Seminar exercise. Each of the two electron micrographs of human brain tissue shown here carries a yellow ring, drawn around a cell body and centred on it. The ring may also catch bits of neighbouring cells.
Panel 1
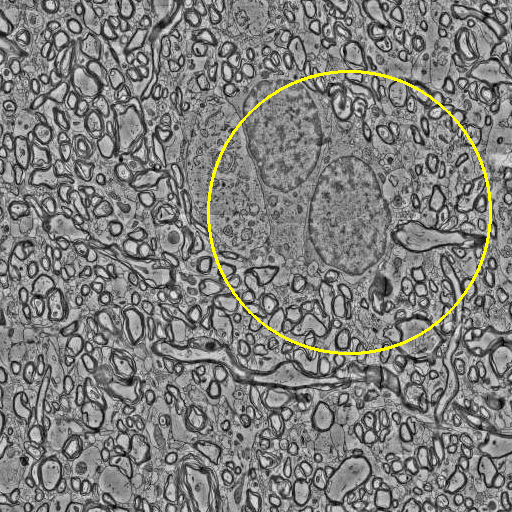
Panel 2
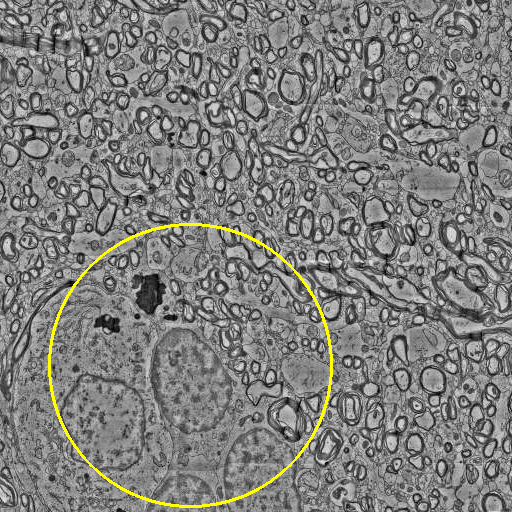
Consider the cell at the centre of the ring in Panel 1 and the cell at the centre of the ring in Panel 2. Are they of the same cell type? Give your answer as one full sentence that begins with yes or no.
Yes, both cells are of the same type.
